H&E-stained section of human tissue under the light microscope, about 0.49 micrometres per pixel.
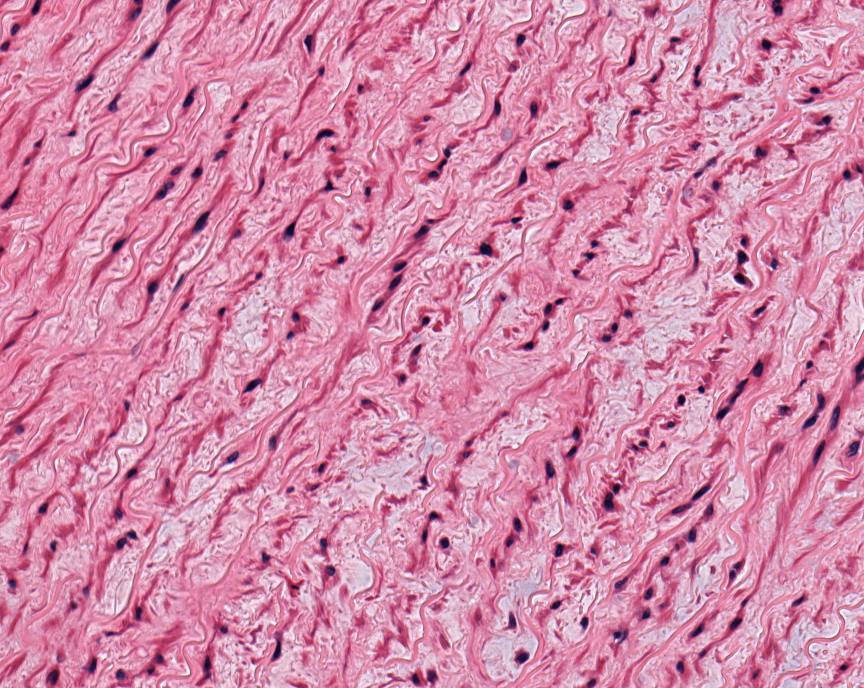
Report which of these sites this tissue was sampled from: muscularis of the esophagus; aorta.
aorta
